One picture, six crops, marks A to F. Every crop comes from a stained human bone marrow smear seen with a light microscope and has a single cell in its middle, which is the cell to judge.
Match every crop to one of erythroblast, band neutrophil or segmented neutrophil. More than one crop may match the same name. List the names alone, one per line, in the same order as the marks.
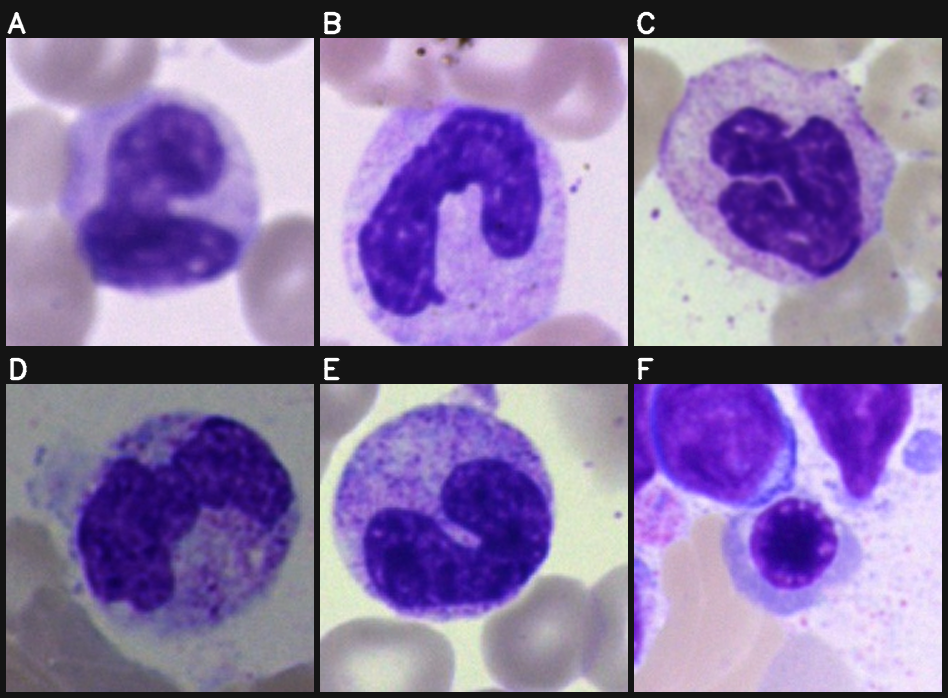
band neutrophil
band neutrophil
segmented neutrophil
band neutrophil
band neutrophil
erythroblast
